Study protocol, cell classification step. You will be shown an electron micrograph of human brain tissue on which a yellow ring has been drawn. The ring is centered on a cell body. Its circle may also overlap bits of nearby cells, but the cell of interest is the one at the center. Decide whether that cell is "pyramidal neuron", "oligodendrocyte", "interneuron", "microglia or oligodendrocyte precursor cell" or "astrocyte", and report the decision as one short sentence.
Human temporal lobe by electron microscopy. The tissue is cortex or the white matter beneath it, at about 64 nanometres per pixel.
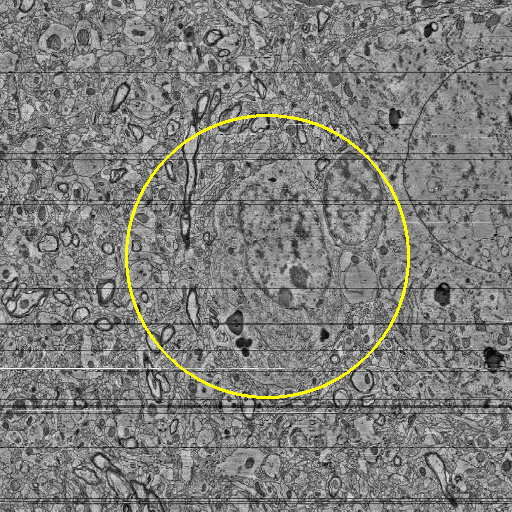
The marked cell is an interneuron.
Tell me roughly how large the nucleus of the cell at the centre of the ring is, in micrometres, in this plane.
At approximately 9 by 6 micrometres, the nucleus is clearly longer than it is wide in this plane.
